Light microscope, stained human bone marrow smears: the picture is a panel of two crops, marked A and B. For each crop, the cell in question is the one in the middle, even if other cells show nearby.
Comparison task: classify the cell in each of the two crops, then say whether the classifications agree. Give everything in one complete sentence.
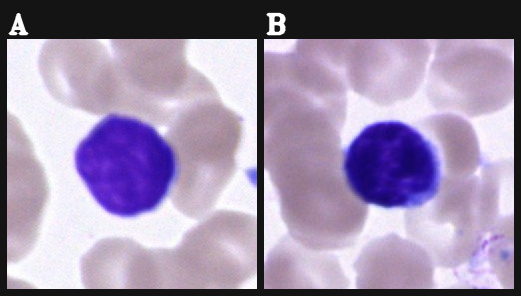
Yes, both of the crops show lymphocytes.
